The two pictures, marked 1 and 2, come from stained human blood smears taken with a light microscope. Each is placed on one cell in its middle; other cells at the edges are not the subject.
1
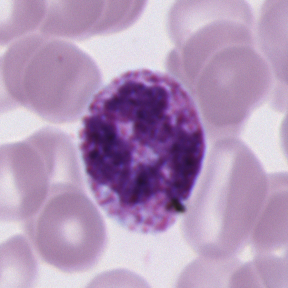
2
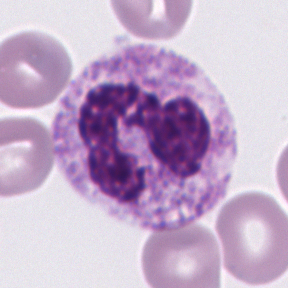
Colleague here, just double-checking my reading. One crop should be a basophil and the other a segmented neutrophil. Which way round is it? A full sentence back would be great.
Crop 1 is a basophil, with crop 2 being a segmented neutrophil.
